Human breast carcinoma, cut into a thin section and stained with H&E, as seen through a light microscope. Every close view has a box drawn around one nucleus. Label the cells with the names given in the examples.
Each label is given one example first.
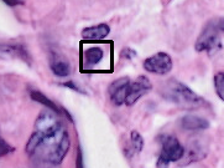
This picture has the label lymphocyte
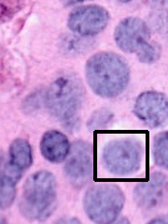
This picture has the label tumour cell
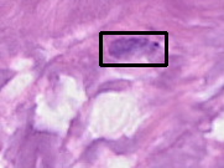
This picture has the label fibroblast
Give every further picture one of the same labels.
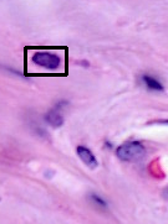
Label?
lymphocyte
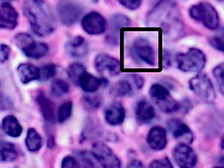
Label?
lymphocyte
